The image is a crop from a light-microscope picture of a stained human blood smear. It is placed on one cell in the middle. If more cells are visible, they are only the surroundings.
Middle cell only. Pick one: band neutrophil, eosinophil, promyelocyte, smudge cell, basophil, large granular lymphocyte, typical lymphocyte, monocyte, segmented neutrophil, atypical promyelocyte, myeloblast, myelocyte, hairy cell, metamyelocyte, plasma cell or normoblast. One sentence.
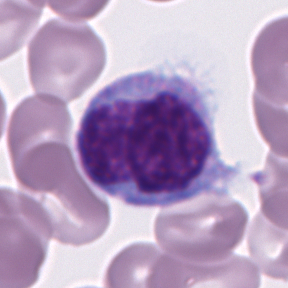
To answer, the cell in the center of the crop is a monocyte.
